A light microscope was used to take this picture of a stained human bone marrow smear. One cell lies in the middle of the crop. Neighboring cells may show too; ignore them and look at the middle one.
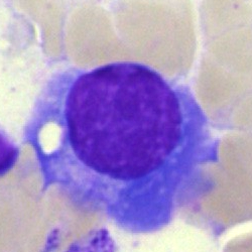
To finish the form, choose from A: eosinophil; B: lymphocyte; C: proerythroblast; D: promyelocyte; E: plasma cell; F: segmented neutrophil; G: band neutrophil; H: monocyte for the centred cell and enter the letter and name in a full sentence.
Option E is the right choice, the central cell being a plasma cell.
